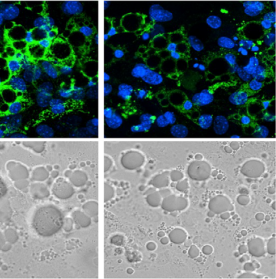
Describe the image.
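These are cultured adipocytes, seen in fluorescence above and in brightfield below. In the upper images, green-stained cytoplasm forms a network of rims around many dark round droplets, with blue oval nuclei lying between them. In the lower brightfield images, the cells are crowded with round, refractile lipid droplets of many sizes, some large and some small clustered together. The green network appears sparser in one column than in the other.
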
